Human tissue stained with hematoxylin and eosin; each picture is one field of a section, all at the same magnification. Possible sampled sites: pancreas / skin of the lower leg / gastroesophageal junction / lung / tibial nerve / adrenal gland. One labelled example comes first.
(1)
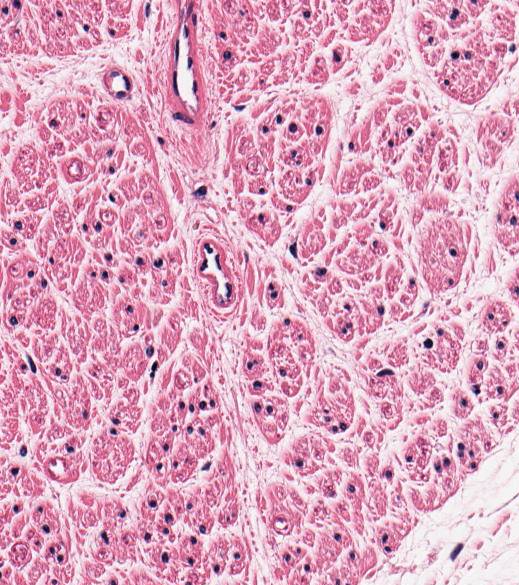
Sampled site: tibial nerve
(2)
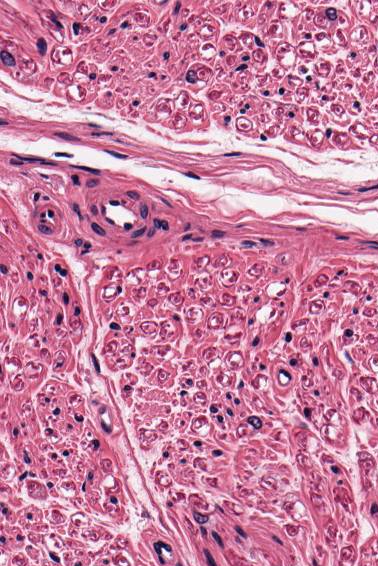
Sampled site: tibial nerve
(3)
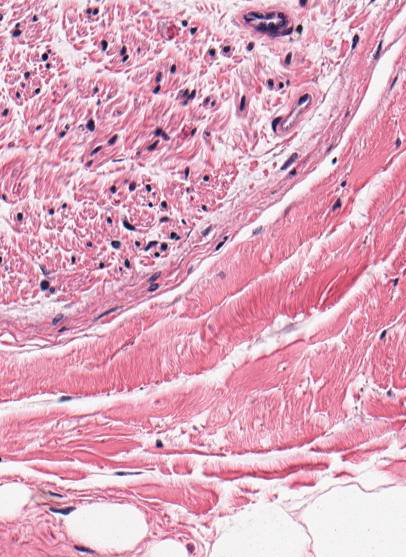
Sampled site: tibial nerve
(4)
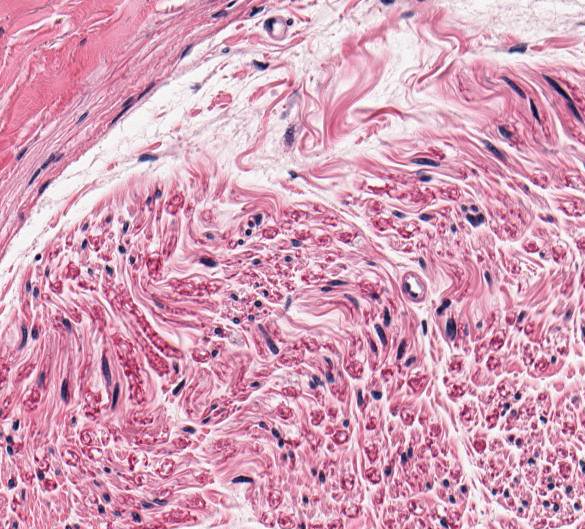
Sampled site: tibial nerve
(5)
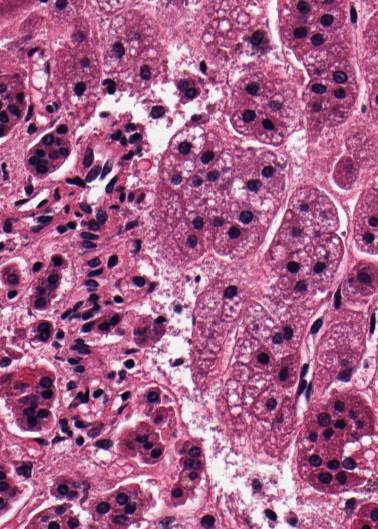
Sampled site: adrenal gland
